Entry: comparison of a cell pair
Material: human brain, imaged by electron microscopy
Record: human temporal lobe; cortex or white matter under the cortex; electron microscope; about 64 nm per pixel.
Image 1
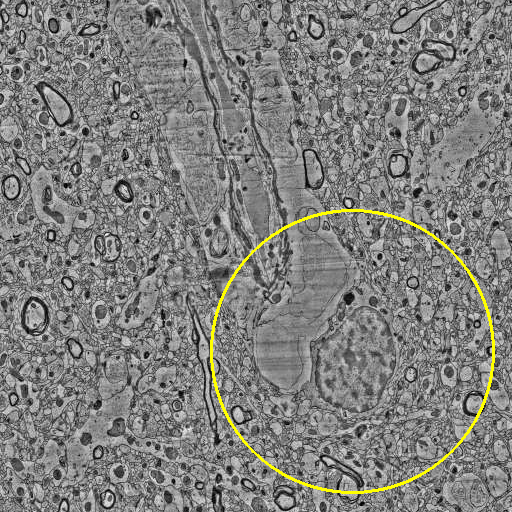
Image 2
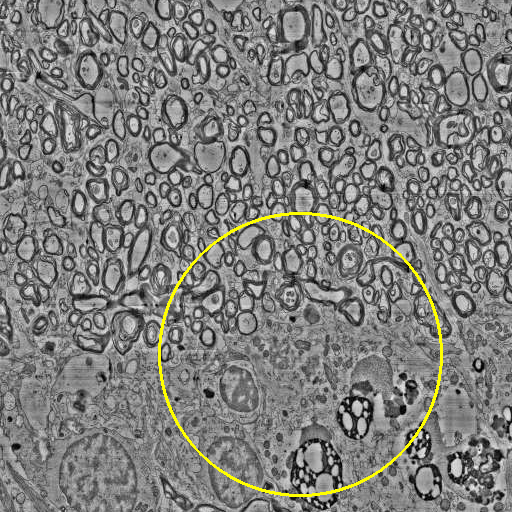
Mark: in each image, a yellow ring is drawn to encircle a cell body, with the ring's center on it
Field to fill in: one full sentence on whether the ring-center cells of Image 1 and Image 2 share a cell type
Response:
No, Image 1 and Image 2 show ring-center cells of two separate types.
